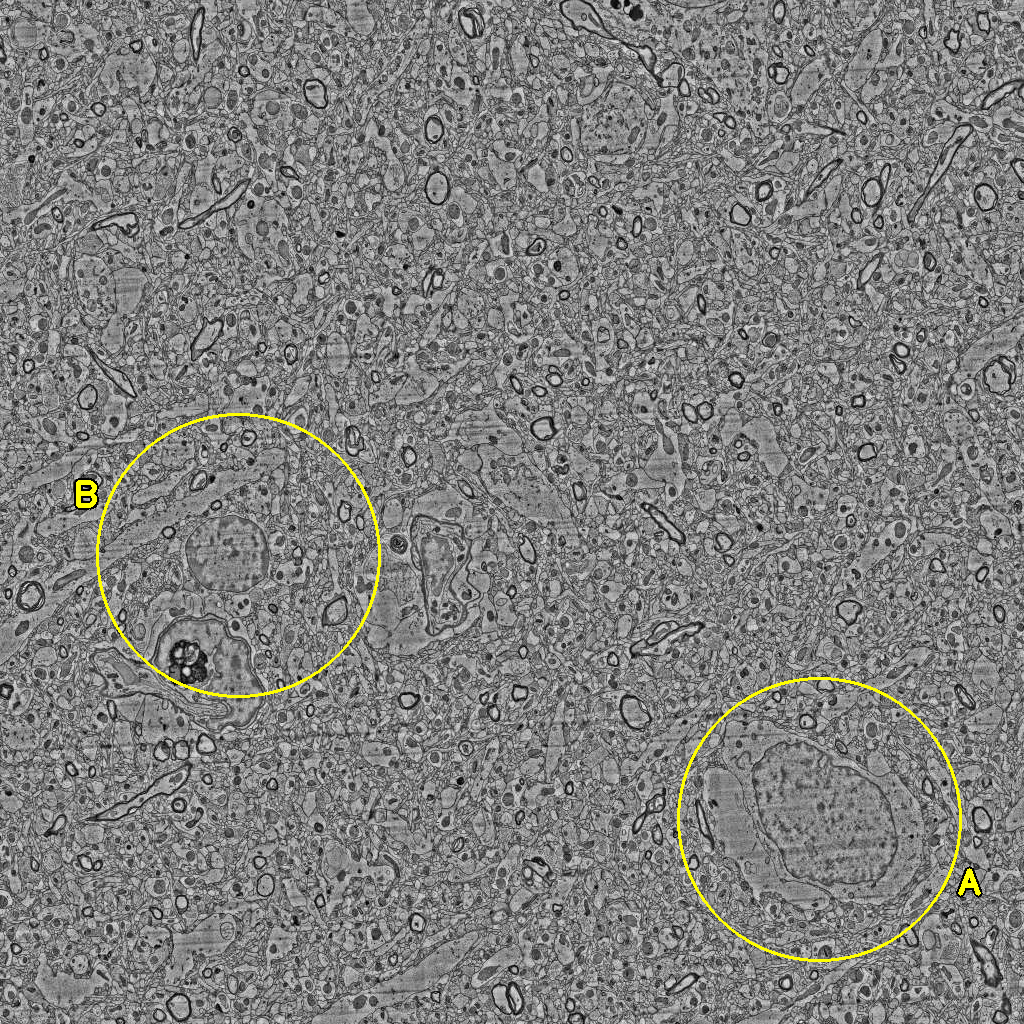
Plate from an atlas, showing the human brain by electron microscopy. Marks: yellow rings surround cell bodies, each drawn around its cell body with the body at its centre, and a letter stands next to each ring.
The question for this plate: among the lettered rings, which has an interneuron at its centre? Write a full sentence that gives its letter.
Ring A holds at its centre the cell that the question asks about in the picture.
